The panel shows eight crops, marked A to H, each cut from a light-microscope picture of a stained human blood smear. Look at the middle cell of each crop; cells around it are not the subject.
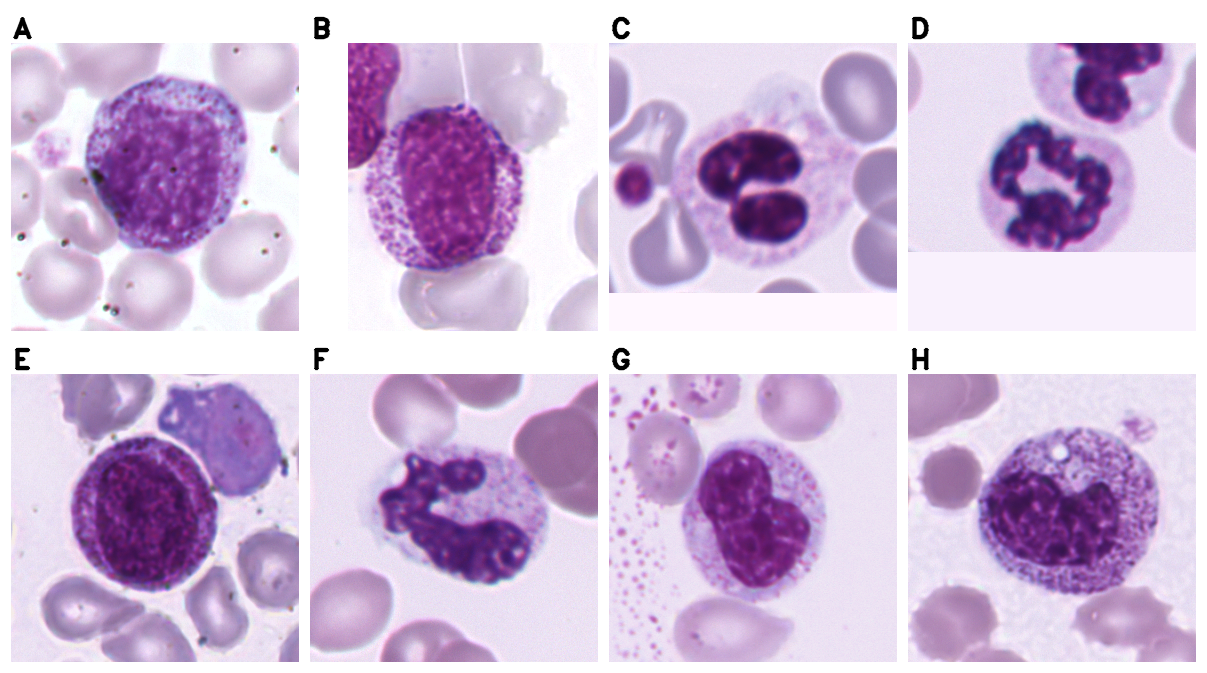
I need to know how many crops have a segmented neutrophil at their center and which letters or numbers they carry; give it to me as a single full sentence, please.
Exactly three of the crops show segmented neutrophils: C, D and F.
